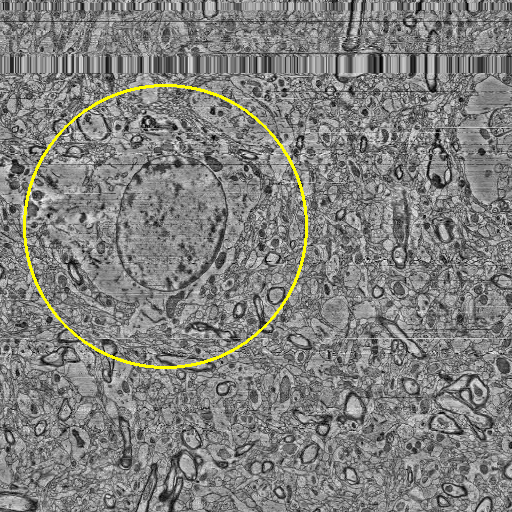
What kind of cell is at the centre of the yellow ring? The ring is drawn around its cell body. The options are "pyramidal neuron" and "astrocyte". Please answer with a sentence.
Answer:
The yellow ring marks the cell body of an astrocyte.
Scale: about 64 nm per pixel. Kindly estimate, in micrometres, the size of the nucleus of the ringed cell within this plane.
The nucleus measures about 9 by 7 micrometres in this plane.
